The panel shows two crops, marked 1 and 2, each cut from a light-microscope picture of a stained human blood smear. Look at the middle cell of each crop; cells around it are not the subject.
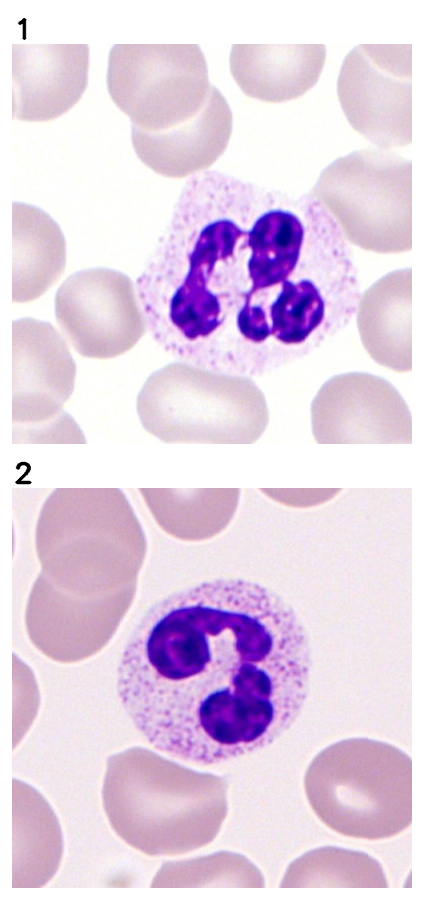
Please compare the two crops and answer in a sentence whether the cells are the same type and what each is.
Yes, segmented neutrophils are centred in both crops.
